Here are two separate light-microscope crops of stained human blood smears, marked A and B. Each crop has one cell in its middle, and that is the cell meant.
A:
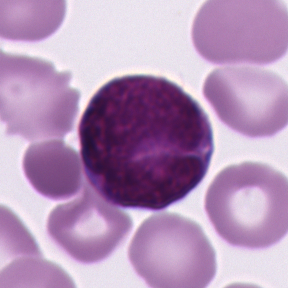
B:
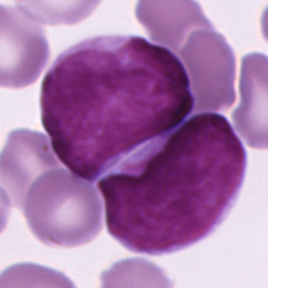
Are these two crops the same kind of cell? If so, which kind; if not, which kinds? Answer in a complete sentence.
Yes, both of the crops in this pair show myeloblasts, one cell in each crop.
